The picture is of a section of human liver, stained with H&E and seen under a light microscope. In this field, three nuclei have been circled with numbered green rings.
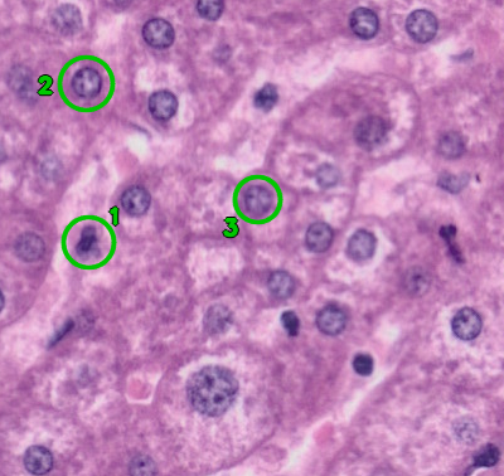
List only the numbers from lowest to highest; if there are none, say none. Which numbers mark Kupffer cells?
1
